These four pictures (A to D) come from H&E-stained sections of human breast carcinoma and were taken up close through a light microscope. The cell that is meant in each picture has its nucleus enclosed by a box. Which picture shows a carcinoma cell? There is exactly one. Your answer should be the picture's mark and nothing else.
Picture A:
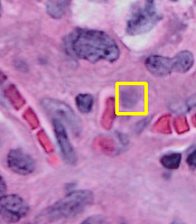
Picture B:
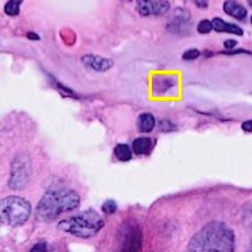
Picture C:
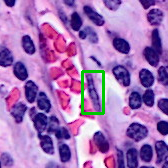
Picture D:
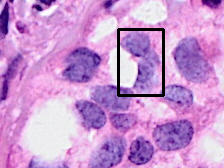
D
